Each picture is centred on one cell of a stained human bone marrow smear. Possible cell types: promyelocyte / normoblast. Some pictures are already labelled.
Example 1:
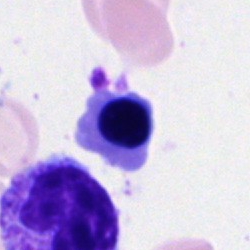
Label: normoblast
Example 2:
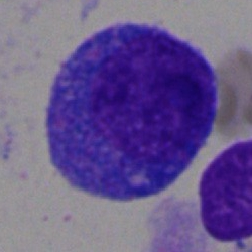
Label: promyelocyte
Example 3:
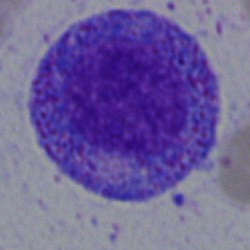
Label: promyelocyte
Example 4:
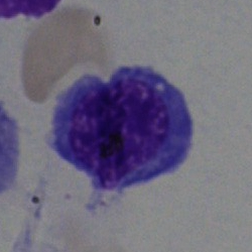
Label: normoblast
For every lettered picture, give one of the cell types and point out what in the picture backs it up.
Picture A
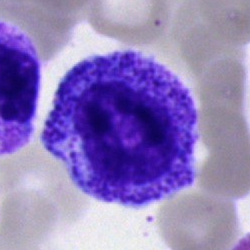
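promyelocyte. Numerous purple granules fill the cytoplasm.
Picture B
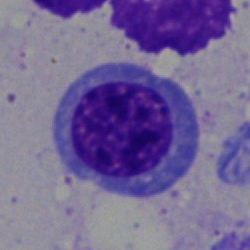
normoblast. The chromatin is coarse and clumped, with dark blocks and paler gaps between them.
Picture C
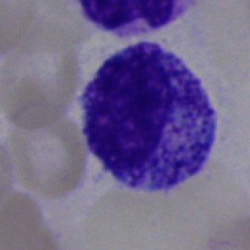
promyelocyte. The cytoplasm holds many coarse dark purple granules.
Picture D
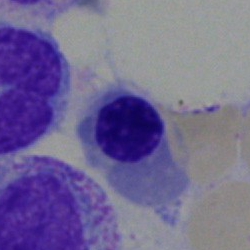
normoblast. The chromatin is dense, dark purple and coarsely clumped.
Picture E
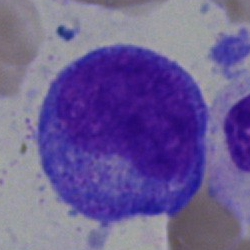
promyelocyte. The chromatin is fine and stippled rather than clumped into coarse dark blocks.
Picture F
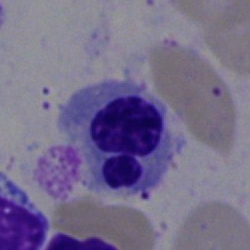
normoblast. The chromatin is dark purple and coarsely clumped.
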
